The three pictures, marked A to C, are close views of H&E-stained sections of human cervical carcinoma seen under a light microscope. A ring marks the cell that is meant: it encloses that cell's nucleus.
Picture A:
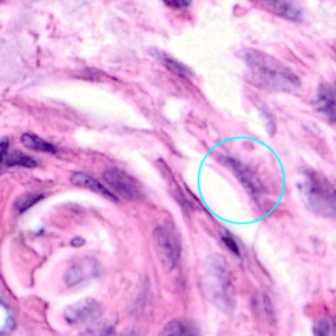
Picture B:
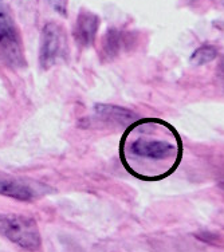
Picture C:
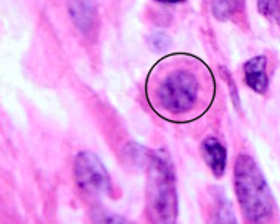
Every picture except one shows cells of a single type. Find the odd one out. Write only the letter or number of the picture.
A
